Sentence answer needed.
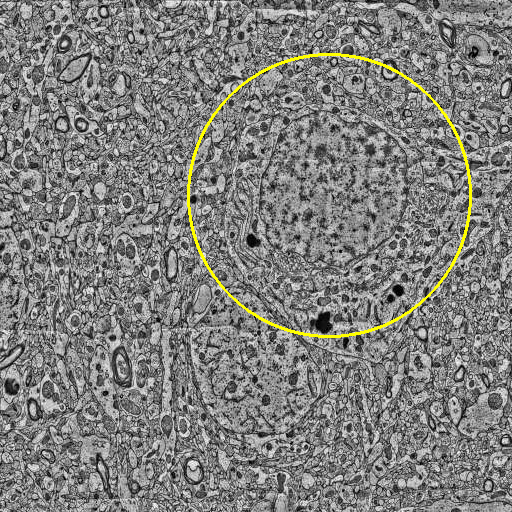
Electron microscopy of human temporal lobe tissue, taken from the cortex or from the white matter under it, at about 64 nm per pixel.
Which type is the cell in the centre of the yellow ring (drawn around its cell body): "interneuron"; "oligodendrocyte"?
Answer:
In the centre of the yellow ring is an interneuron.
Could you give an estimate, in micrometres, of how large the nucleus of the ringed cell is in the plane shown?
Roughly 10 micrometres across, measured in this plane.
